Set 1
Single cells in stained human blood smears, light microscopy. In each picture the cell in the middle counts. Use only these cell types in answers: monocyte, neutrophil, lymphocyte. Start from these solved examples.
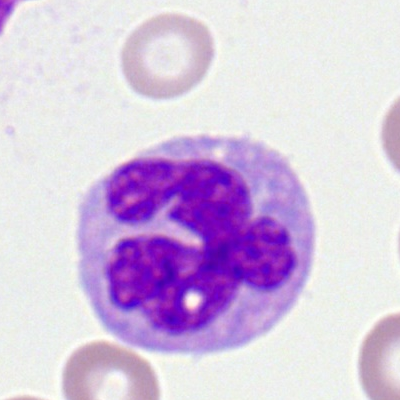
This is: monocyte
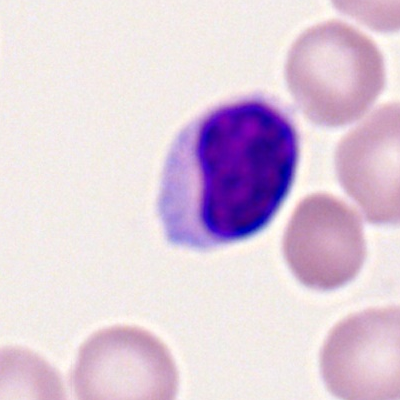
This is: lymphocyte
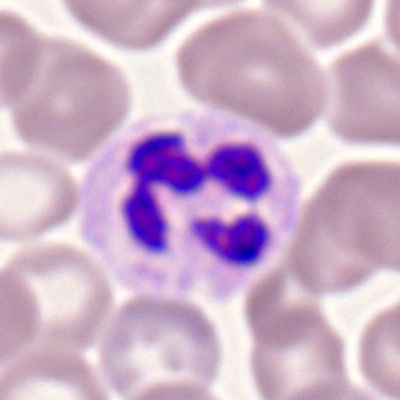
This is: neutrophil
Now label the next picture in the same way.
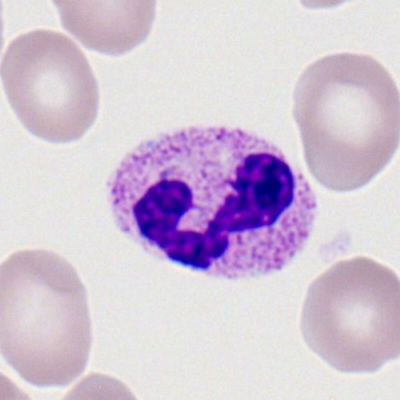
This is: neutrophil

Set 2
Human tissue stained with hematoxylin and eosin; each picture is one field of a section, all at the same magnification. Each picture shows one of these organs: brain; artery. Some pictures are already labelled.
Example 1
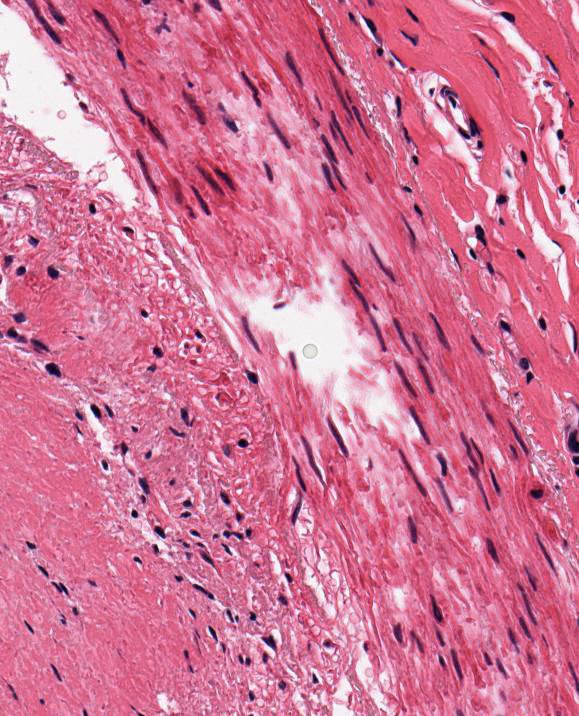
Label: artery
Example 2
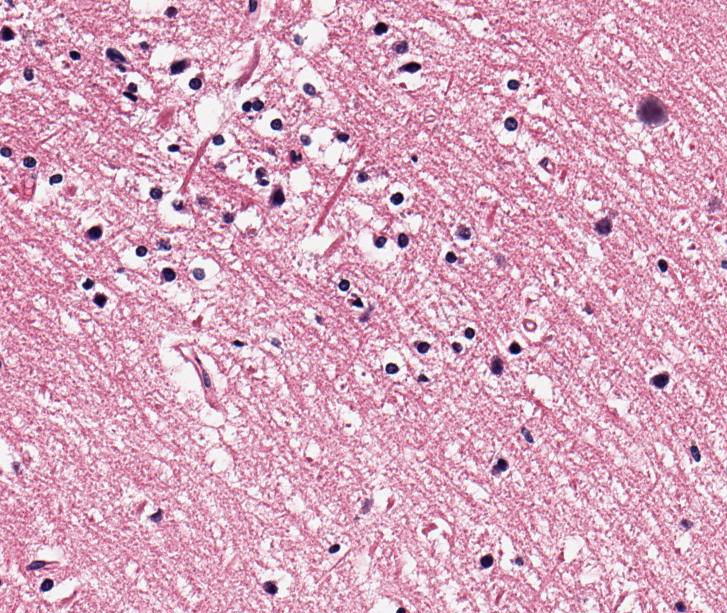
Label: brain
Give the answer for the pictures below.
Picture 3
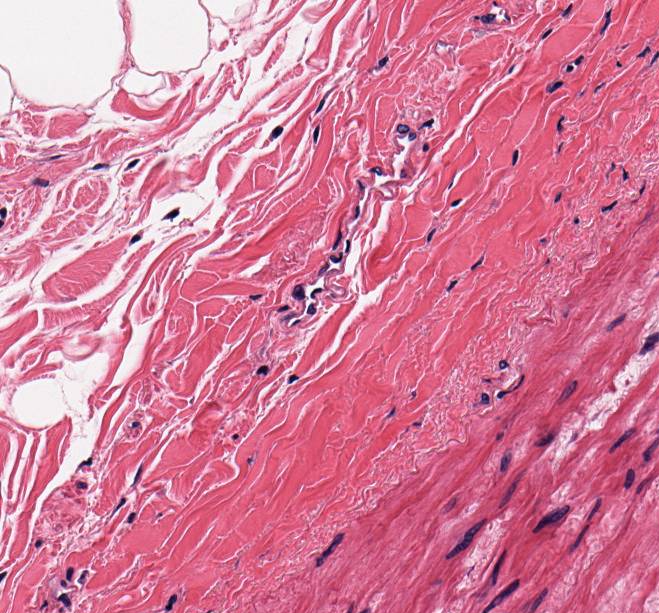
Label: artery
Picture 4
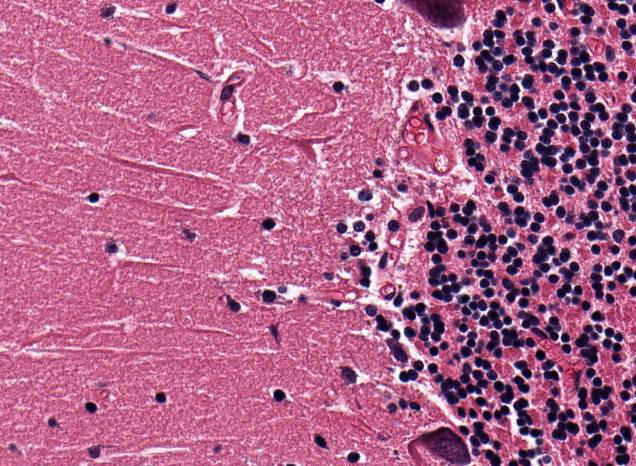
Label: brain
